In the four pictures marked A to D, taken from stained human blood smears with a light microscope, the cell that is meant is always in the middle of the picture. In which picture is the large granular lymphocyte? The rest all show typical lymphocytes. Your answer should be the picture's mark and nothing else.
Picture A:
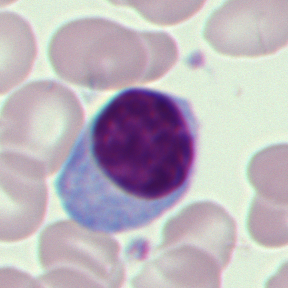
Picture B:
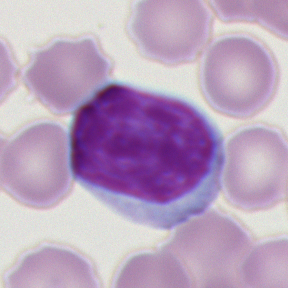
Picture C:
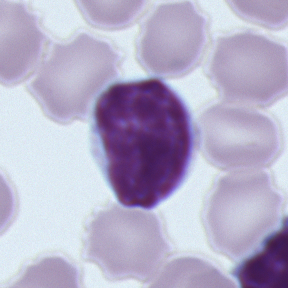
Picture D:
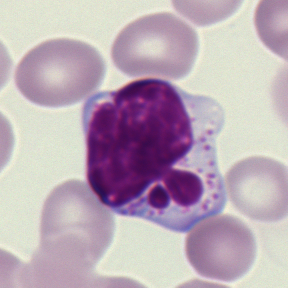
D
